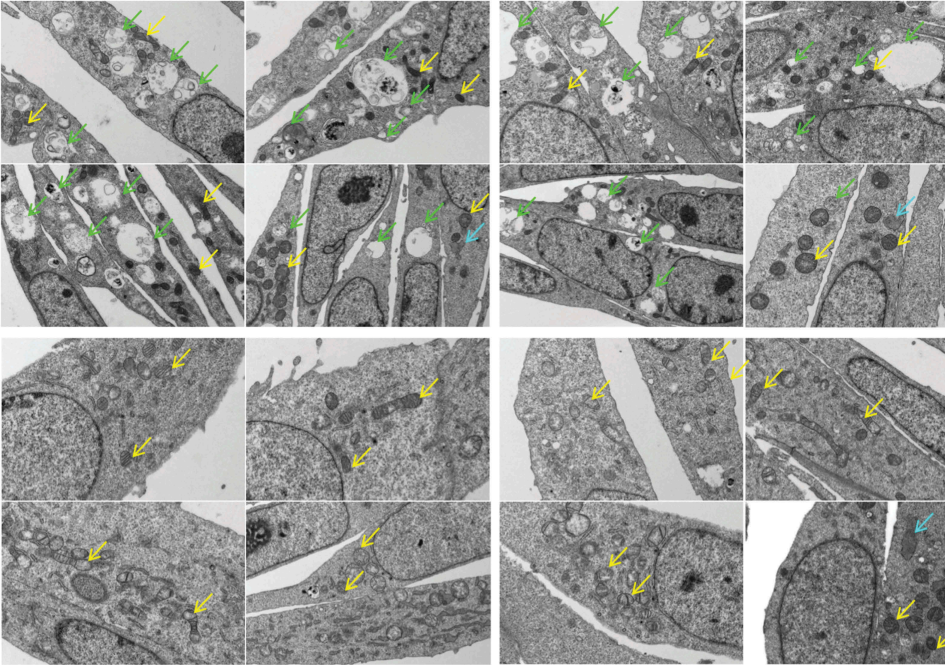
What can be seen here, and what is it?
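In the upper rows, the cytoplasm is crowded with round membrane-bound vacuoles of varying size, many containing dense debris or membranous material, typical of autophagosomes and autolysosomes. Mitochondria appear throughout as small oval organelles with a double membrane and inner cristae. In the lower rows, such vacuoles are scarce and the cytoplasm shows mainly mitochondria and other small organelles between the nuclei and the cell edges.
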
